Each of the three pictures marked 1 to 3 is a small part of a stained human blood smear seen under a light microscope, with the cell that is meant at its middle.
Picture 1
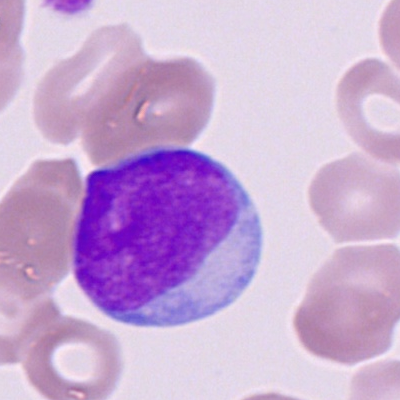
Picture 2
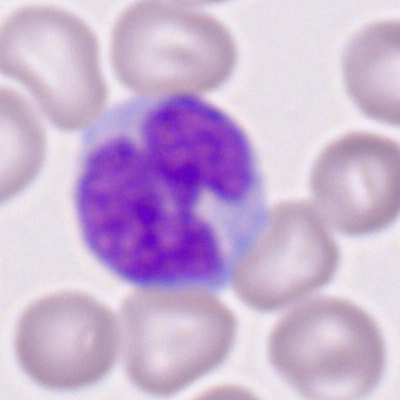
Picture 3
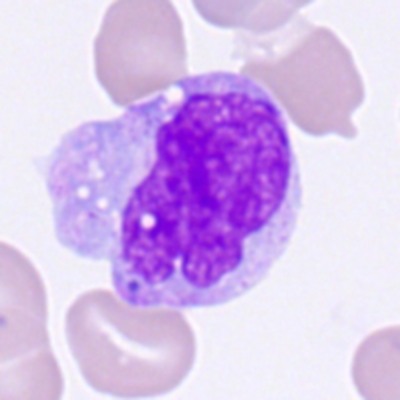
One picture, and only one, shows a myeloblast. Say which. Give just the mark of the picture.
1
